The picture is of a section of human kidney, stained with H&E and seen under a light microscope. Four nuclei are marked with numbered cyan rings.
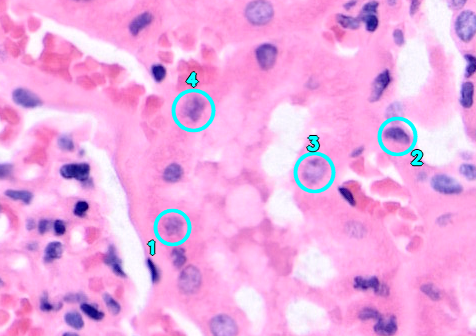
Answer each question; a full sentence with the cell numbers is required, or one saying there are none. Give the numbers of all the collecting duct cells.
In contrast to the remaining marked cells, cell 2 is a collecting duct cell.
